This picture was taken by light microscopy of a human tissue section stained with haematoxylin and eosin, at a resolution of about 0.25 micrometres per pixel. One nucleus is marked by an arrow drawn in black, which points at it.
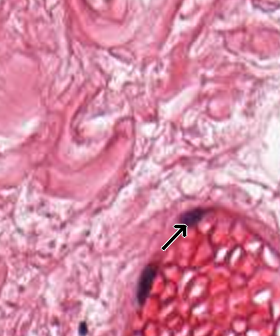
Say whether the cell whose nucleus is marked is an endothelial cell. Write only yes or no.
yes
